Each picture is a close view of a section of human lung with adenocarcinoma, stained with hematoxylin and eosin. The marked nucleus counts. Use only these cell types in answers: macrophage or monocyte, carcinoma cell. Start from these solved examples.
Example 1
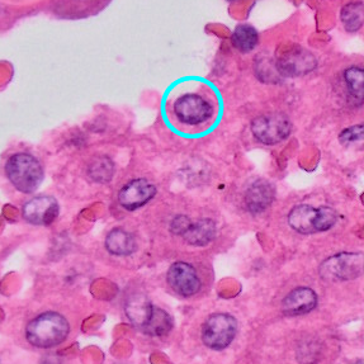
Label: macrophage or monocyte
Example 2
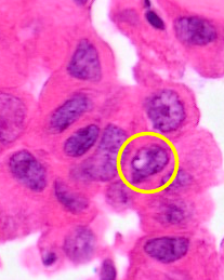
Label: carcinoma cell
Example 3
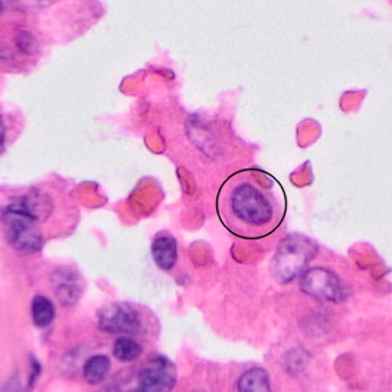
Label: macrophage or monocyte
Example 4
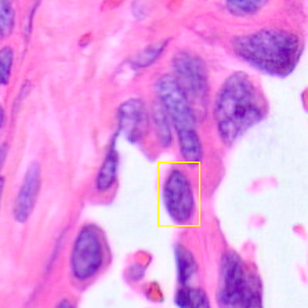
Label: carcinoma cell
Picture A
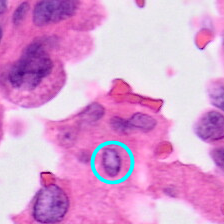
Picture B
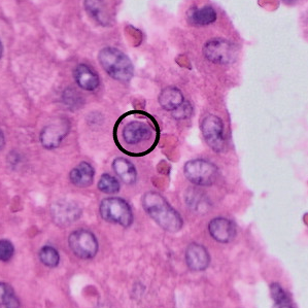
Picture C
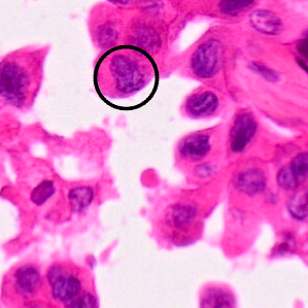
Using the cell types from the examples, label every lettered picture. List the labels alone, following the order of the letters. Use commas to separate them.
macrophage or monocyte, macrophage or monocyte, carcinoma cell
